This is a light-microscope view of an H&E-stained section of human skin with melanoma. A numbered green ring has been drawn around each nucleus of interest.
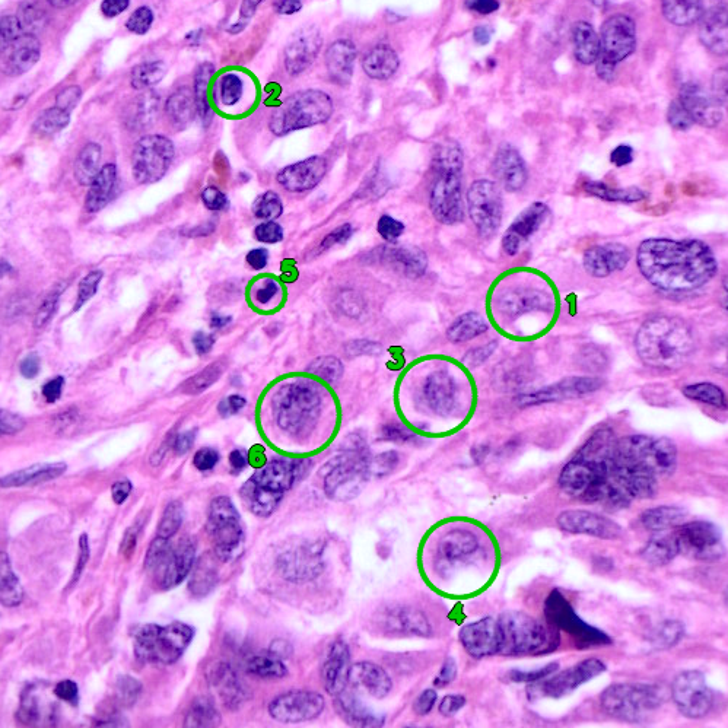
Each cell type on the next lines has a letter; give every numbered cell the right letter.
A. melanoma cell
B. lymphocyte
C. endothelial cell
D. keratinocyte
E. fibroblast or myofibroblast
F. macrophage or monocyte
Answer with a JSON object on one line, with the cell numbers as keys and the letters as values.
{"1": "A", "2": "B", "3": "A", "4": "A", "5": "B", "6": "A"}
